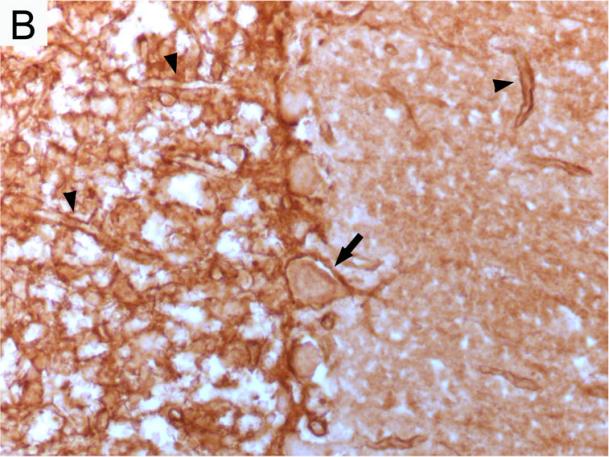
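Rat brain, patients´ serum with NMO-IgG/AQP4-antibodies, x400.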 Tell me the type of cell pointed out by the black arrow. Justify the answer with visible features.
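The arrow marks a large, round, pale cell body. It lies in a single row at the border between the coarse reticular layer and the smoother layer. Brown processes encircle it like a basket. The answer: Purkinje cells.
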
